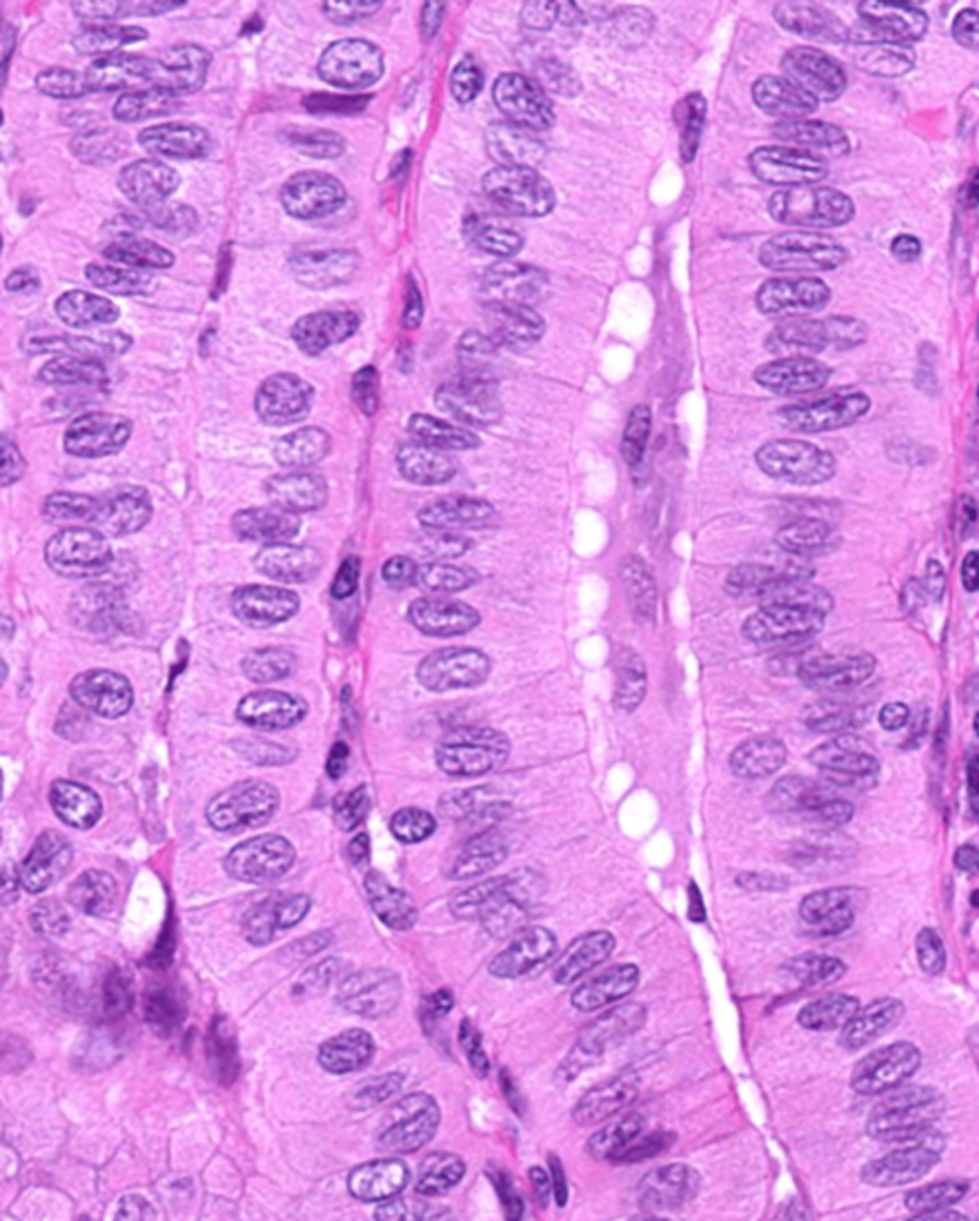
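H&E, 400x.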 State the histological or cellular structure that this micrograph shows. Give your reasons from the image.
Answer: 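Long parallel rows of tall cells face each other across narrow slit-like lumens. A central elongated lumen holds pale material with round clear vacuoles.
Answer: elongated "tram-track" follicles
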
